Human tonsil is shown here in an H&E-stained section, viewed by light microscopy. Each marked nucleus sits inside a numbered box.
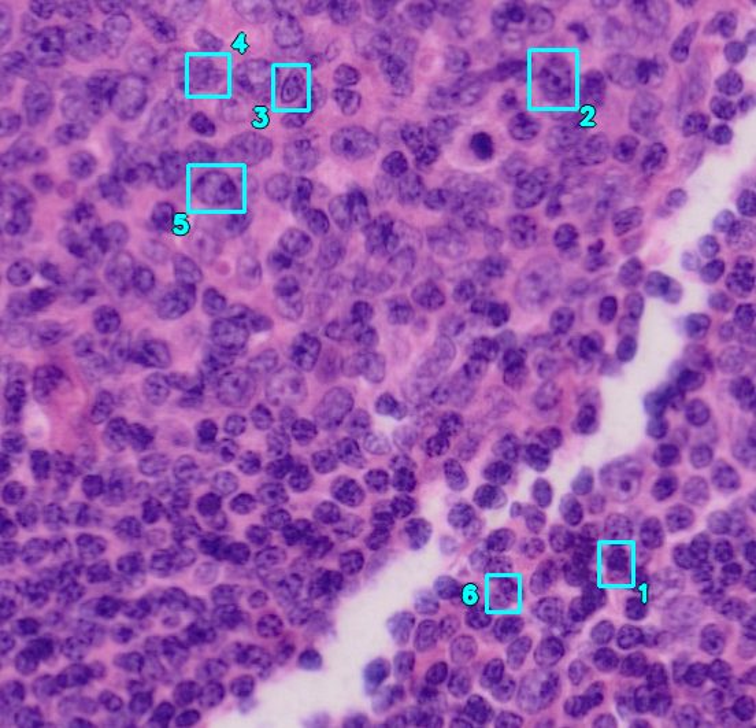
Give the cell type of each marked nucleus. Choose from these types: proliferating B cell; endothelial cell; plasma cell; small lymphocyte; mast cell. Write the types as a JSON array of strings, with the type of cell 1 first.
["small lymphocyte", "proliferating B cell", "proliferating B cell", "proliferating B cell", "proliferating B cell", "small lymphocyte"]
